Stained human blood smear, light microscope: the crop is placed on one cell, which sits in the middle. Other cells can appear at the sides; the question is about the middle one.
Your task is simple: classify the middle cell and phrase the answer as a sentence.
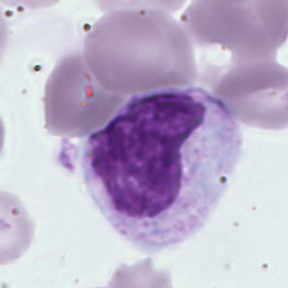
At the center of the crop sits a metamyelocyte.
